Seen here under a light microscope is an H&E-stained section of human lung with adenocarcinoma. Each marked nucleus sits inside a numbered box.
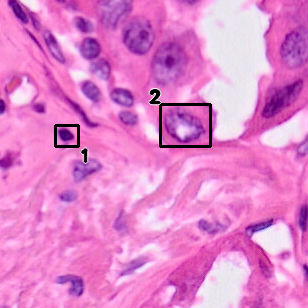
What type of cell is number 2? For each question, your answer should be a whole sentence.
The cell numbered 2 has been identified as a carcinoma cell.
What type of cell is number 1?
That cell with number 1 is a lymphocyte.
